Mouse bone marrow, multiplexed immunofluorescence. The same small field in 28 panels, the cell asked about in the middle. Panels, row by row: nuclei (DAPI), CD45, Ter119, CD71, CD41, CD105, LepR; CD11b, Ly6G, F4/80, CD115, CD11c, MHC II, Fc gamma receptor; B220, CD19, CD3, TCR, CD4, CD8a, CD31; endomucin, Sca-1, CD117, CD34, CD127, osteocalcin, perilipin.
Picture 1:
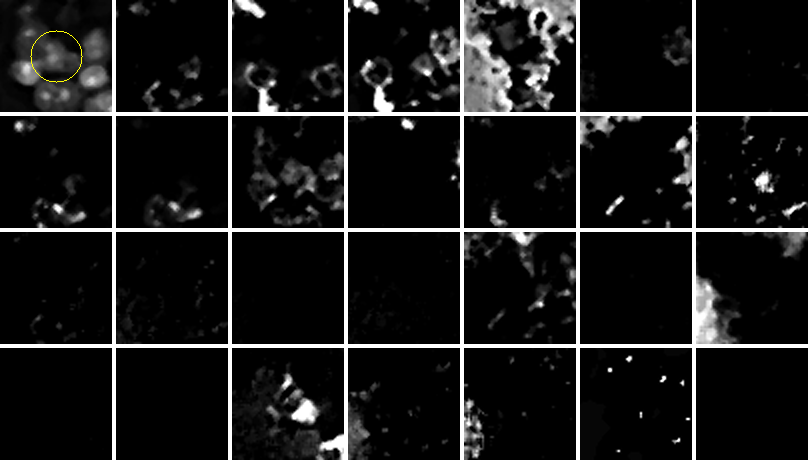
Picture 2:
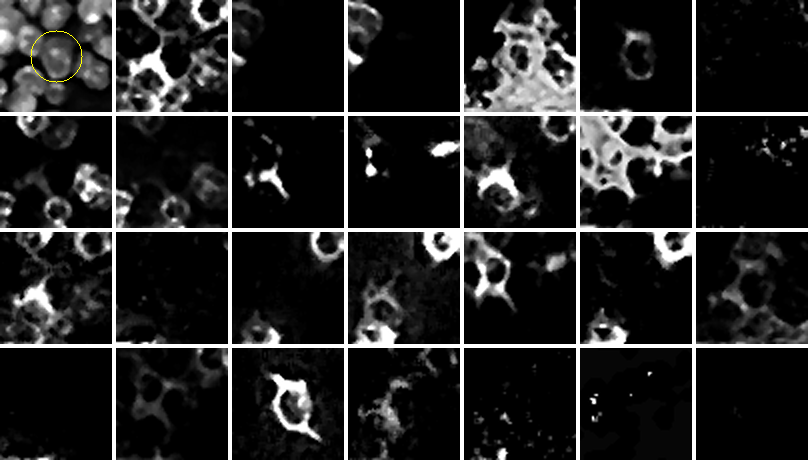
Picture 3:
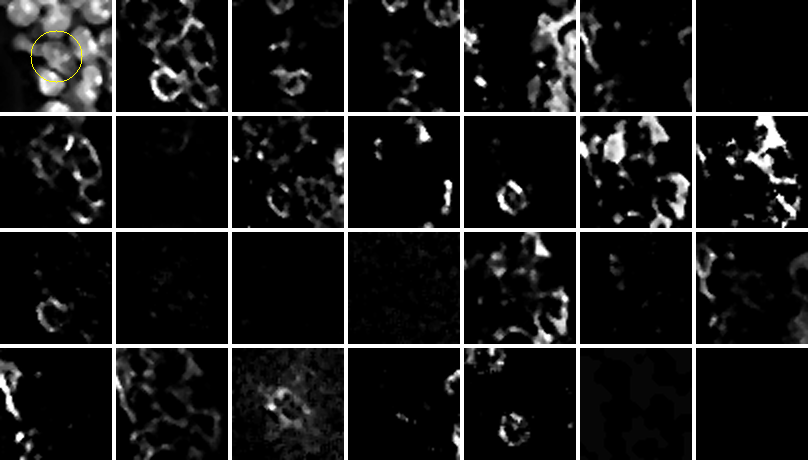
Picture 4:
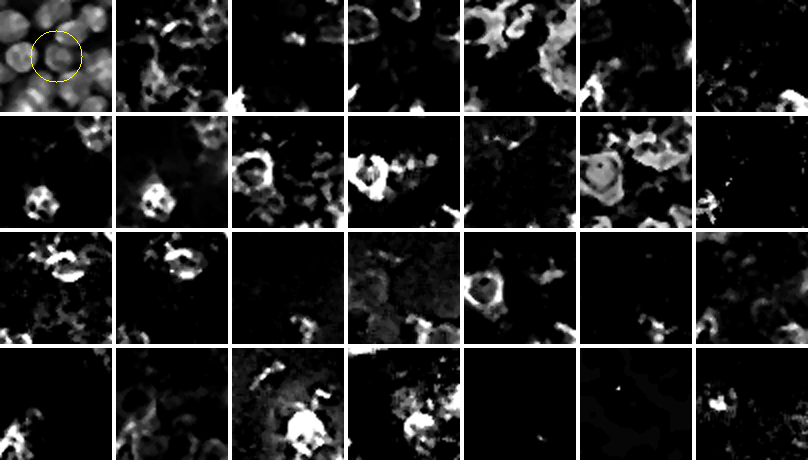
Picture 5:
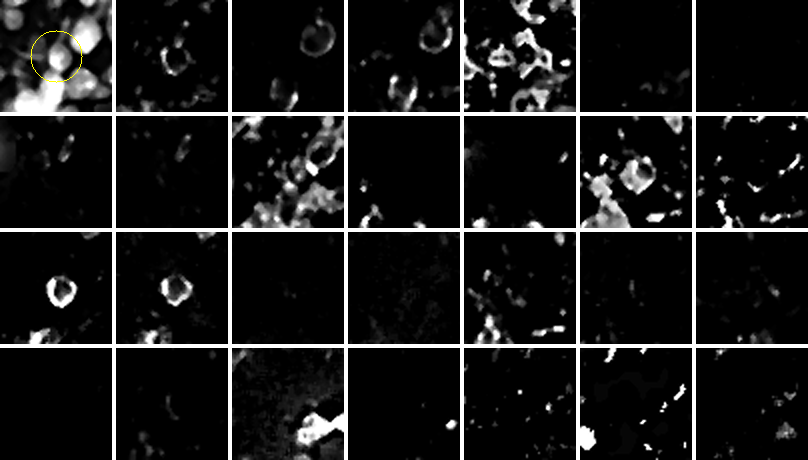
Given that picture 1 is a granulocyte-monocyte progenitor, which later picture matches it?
3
